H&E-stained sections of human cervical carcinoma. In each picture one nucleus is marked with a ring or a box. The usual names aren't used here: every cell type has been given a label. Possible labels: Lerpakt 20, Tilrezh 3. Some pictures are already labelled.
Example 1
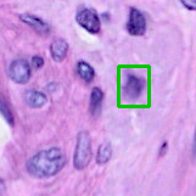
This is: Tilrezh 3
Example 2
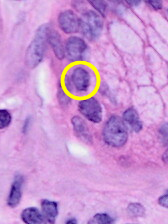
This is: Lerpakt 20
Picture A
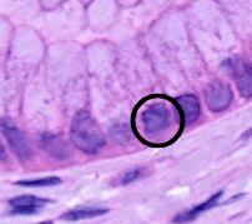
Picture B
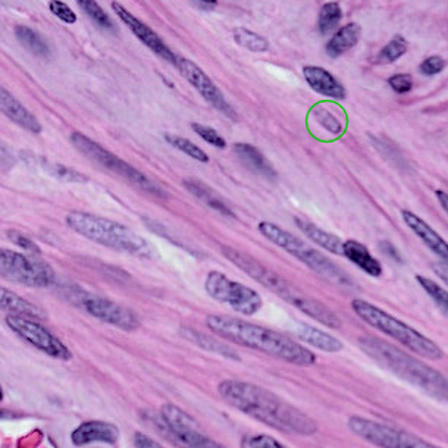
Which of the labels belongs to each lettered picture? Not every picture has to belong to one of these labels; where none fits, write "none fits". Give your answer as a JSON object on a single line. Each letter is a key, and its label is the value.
{"A": "Lerpakt 20", "B": "none fits"}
